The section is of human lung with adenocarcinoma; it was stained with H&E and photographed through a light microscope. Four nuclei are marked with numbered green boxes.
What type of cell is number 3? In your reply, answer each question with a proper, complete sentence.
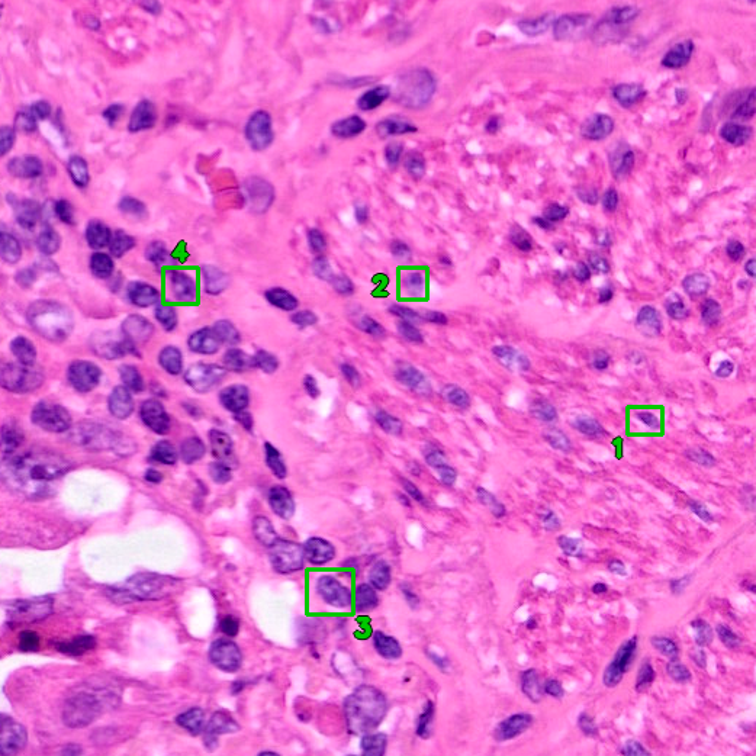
The cell marked with the number 3 is a lymphocyte.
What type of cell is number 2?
The cell given label 2 is a smooth muscle cell or pericyte.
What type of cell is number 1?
Cell 1 should be recorded as a smooth muscle cell or pericyte.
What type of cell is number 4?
Cell 4 in the field is a lymphocyte.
